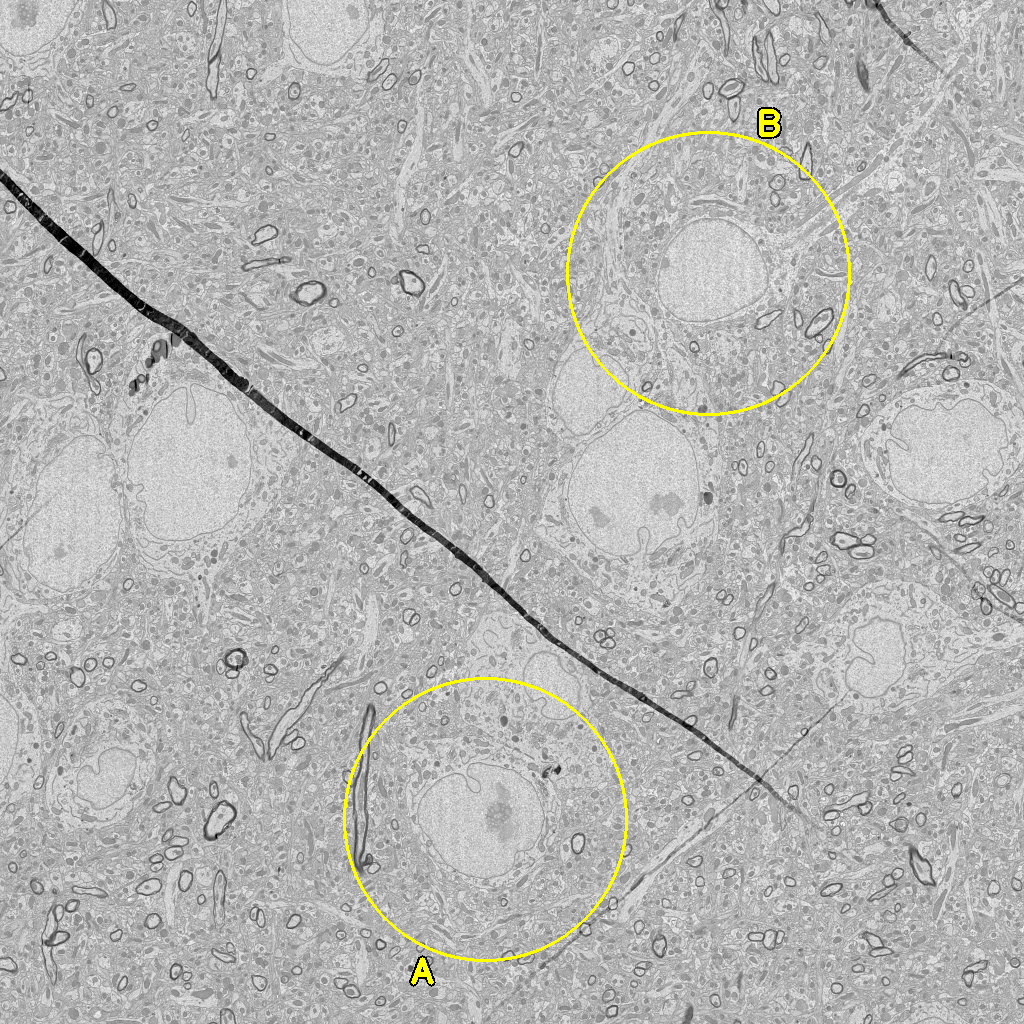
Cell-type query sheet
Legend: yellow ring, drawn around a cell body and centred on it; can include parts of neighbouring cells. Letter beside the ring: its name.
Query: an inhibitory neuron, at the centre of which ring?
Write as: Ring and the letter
Ring A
